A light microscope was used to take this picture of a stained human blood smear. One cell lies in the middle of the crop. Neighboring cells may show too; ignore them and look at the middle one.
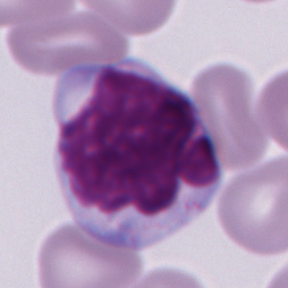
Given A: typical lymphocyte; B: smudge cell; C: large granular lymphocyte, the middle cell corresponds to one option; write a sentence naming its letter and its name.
The cell at the heart of the crop is a large granular lymphocyte, so choose option C.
